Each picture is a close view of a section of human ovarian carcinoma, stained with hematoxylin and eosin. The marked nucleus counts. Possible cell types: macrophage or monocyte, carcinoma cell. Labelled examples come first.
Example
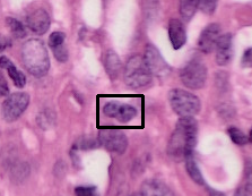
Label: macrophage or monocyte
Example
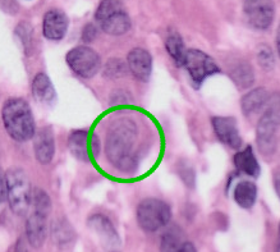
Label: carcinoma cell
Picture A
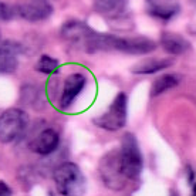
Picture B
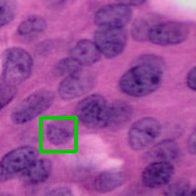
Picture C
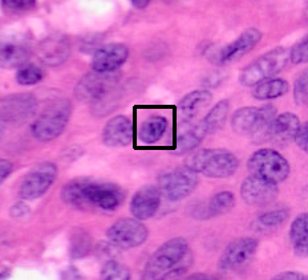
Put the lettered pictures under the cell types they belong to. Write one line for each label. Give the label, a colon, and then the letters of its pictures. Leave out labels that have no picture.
macrophage or monocyte: A, C
carcinoma cell: B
